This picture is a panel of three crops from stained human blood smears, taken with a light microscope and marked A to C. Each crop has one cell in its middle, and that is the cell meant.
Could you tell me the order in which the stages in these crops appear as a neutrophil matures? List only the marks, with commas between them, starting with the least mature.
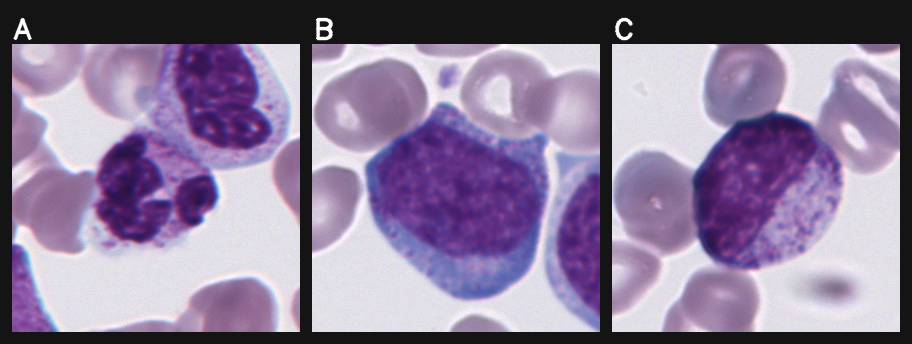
B, C, A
